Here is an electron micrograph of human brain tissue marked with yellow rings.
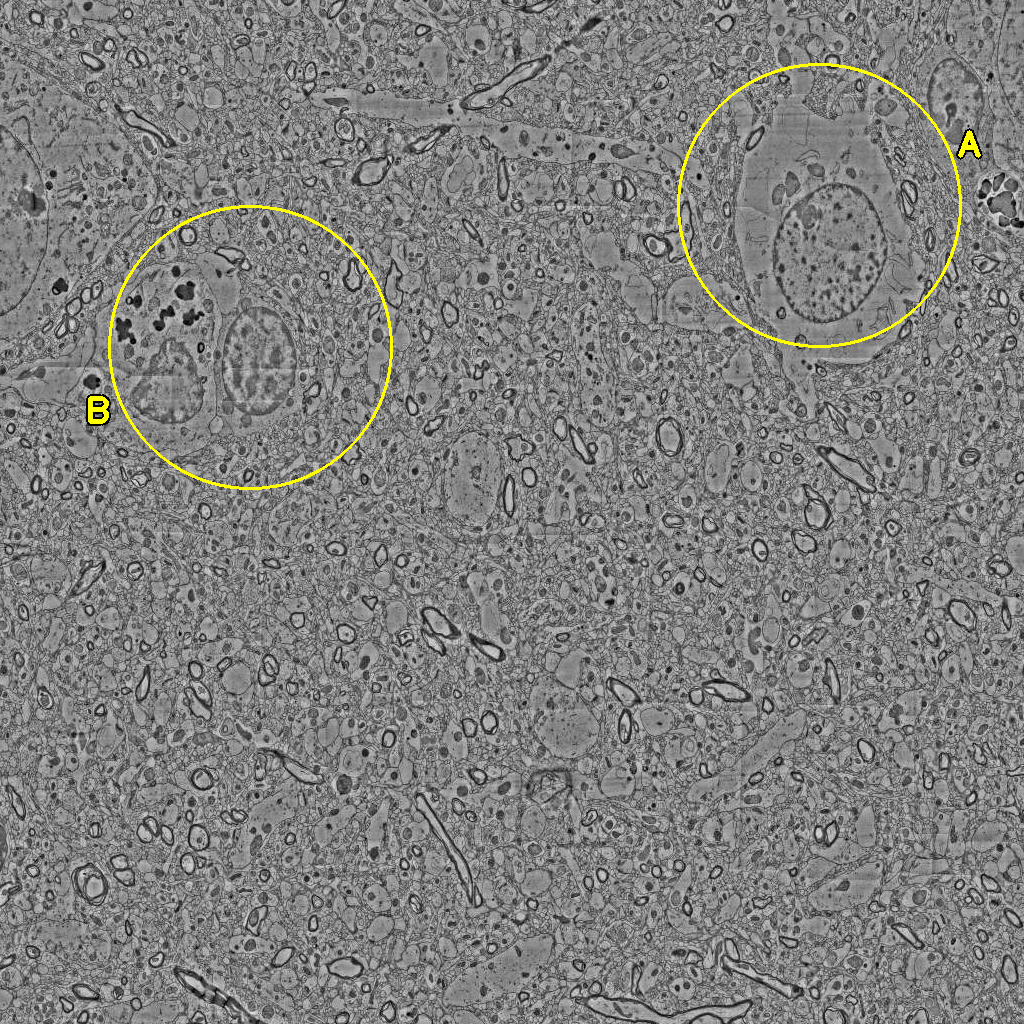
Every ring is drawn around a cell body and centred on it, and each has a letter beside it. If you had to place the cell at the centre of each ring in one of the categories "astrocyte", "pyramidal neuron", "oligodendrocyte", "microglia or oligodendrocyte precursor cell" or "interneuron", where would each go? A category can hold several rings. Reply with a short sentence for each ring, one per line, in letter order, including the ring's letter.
The centre of ring A holds an astrocyte.
The centre of ring B holds an oligodendrocyte.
